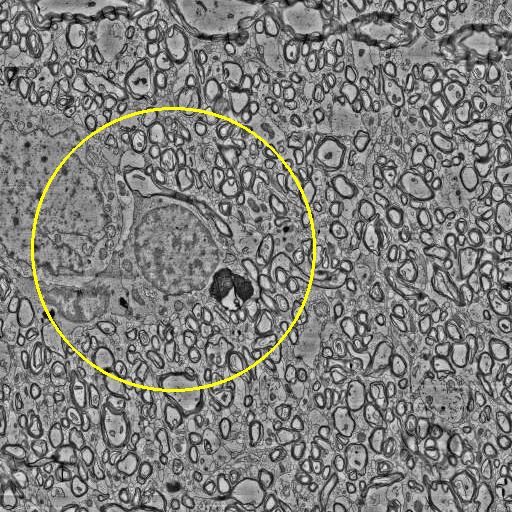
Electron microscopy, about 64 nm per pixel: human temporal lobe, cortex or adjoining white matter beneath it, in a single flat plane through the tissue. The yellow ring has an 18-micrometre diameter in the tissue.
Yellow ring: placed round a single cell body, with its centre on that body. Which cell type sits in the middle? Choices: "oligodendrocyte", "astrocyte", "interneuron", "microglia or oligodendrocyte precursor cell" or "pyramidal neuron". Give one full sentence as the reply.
It is an oligodendrocyte whose cell body sits at the centre of the yellow ring.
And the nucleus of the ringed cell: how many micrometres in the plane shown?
In this plane the nucleus measures roughly 6 by 5 micrometers.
